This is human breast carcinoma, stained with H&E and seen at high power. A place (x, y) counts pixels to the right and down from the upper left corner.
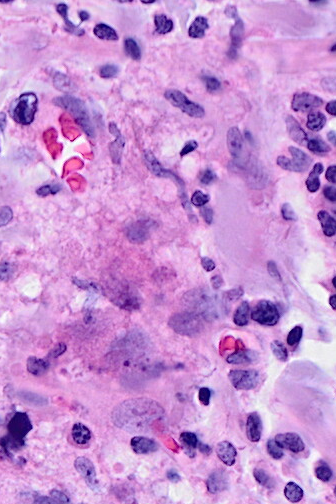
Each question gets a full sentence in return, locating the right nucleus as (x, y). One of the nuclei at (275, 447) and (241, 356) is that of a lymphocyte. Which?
Answering which nucleus it is: the one at (275, 447), belonging to a lymphocyte.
